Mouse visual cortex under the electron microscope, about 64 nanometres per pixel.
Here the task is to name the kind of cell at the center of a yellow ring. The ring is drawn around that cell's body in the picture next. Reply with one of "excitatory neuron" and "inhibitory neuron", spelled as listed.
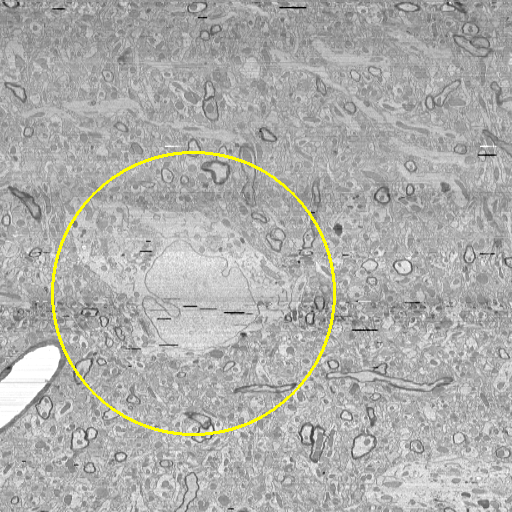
excitatory neuron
